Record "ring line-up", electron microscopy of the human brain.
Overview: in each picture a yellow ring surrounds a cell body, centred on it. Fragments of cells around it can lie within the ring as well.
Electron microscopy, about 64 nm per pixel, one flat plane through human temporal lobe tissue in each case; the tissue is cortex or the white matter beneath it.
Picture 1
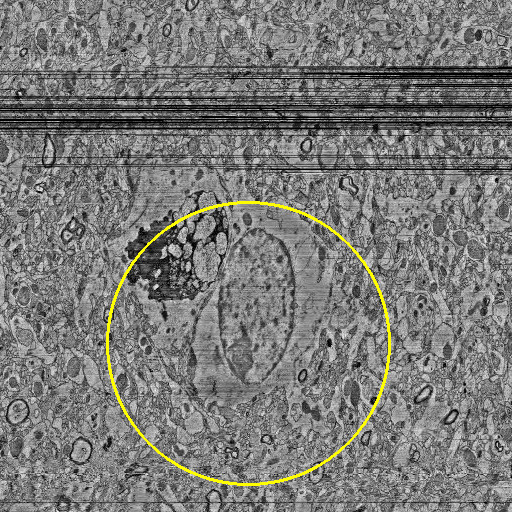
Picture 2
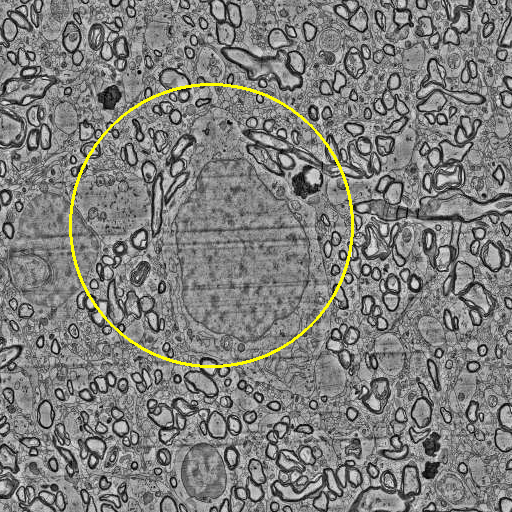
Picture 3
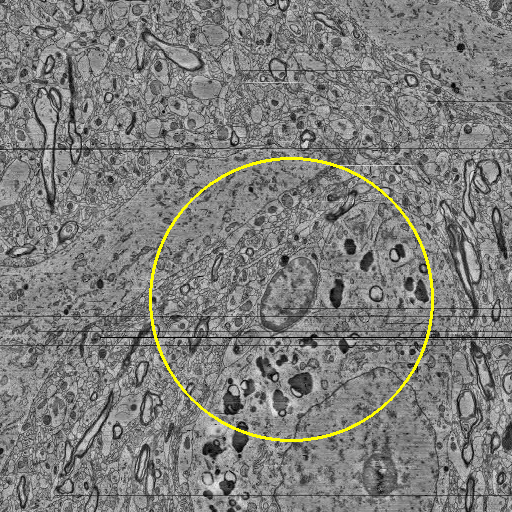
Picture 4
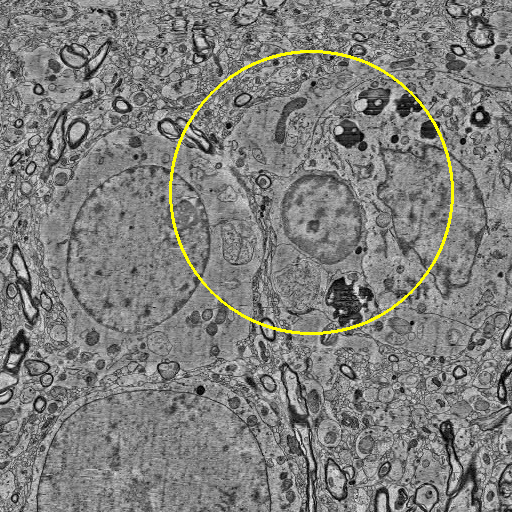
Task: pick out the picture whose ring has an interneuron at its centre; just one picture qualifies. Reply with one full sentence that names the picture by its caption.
Going by the cell at the ring's centre, the right choice is Picture 2.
